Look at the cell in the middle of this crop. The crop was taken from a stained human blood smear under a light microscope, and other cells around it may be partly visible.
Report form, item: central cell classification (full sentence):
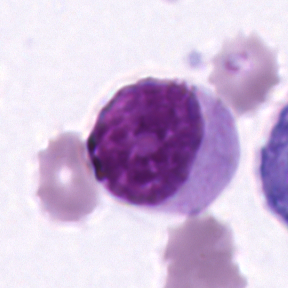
This crop's central cell is a plasma cell.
